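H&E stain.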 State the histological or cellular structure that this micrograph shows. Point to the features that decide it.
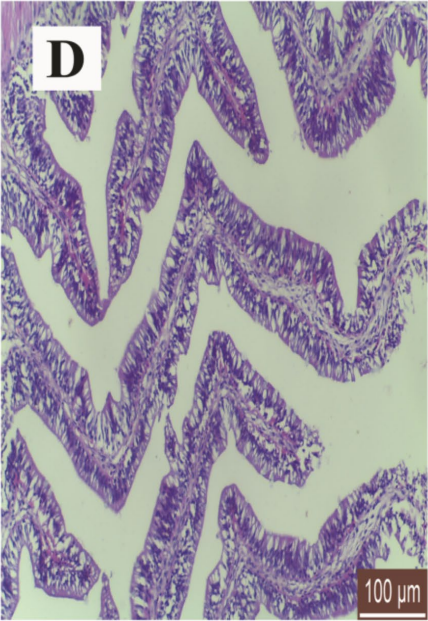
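Intestinal villi. Long, finger-like mucosal projections extend into a clear lumen. Each projection is covered by a tall epithelial layer with a thin connective tissue core.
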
